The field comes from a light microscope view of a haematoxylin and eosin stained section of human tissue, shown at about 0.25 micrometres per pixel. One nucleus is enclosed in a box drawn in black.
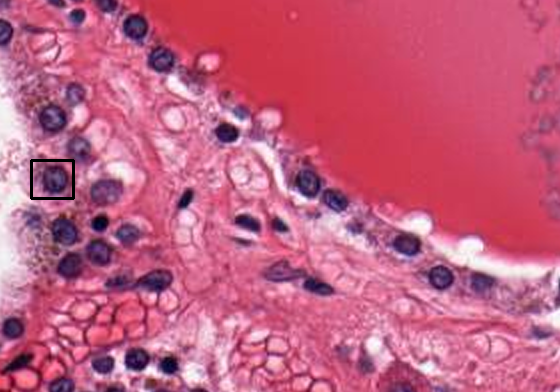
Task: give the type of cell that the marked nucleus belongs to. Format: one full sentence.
The marked nucleus is found in a thyroid follicular cell.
